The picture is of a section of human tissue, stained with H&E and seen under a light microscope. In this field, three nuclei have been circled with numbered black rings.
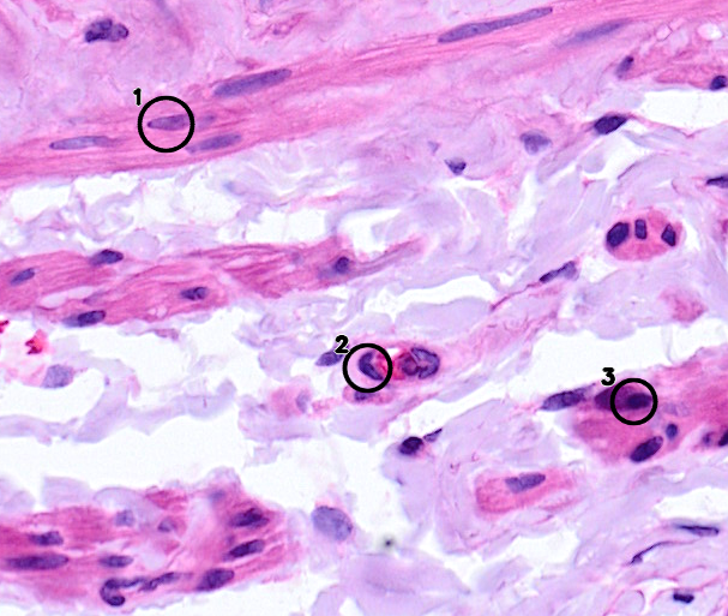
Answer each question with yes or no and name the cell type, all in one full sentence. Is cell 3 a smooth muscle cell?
Yes, in this tissue section, number 3 is a smooth muscle cell.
